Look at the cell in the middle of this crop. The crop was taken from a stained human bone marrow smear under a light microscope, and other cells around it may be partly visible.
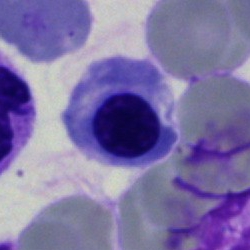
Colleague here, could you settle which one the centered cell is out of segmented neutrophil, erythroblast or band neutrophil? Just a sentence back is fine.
Present in the middle of the crop is an erythroblast.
